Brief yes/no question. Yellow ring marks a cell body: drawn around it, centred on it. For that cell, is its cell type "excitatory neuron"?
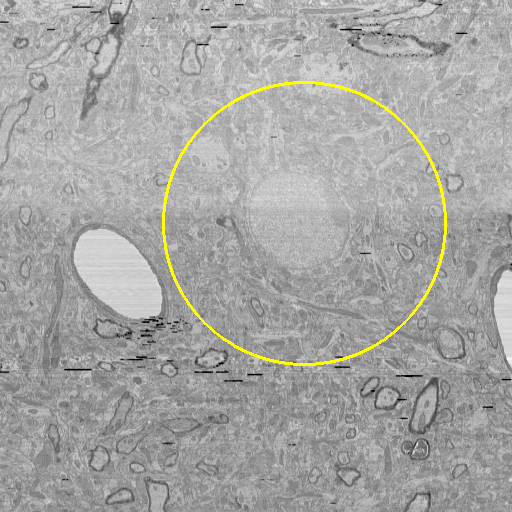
No, the cell type is another.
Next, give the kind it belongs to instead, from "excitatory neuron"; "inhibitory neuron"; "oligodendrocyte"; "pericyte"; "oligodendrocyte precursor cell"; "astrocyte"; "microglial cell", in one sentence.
That cell in the ring is an astrocyte instead.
